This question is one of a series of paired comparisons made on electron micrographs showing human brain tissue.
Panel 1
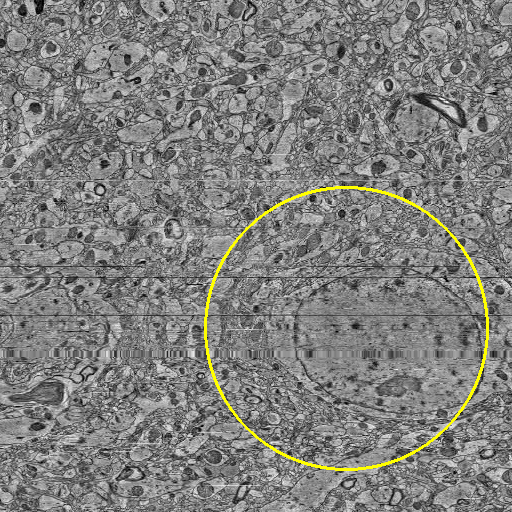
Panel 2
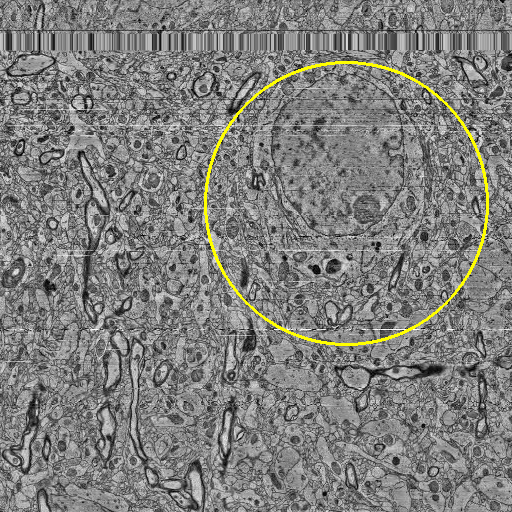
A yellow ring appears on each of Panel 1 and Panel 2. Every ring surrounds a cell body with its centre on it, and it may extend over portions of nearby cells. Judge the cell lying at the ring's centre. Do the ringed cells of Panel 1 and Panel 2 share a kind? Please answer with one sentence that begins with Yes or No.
Yes, the ring-centre cell in Panel 1 and the one in Panel 2 are of one kind.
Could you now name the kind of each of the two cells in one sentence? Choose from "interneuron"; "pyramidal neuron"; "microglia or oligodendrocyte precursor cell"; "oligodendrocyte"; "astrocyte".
In the first picture and in the second, the ring is centred on a pyramidal neuron.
